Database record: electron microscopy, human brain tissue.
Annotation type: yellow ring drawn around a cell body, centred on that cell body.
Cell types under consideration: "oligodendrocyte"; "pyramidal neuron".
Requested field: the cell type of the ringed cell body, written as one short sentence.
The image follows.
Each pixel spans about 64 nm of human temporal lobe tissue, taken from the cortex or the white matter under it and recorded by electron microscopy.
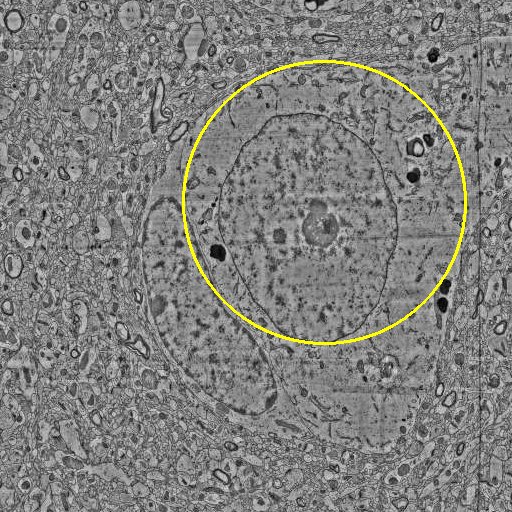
The ringed cell body represents a pyramidal neuron.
